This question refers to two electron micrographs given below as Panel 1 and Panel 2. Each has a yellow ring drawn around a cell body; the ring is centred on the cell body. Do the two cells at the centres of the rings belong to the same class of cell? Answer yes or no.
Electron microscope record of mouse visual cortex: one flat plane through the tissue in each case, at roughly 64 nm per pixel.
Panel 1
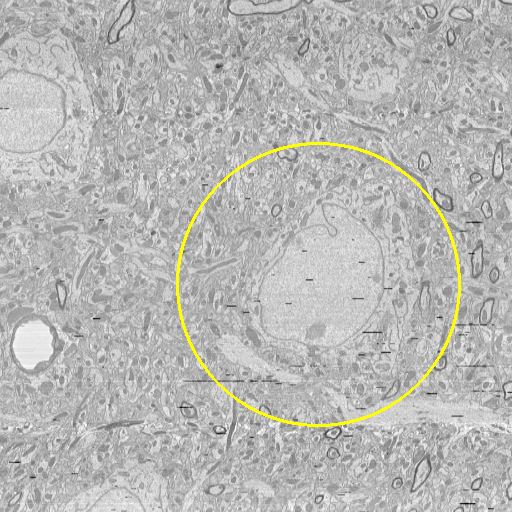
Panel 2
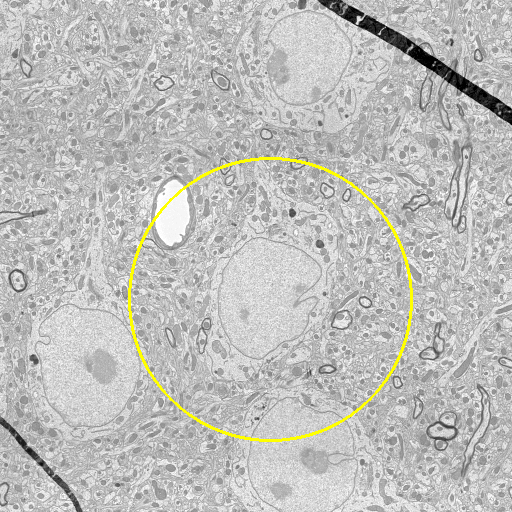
yes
